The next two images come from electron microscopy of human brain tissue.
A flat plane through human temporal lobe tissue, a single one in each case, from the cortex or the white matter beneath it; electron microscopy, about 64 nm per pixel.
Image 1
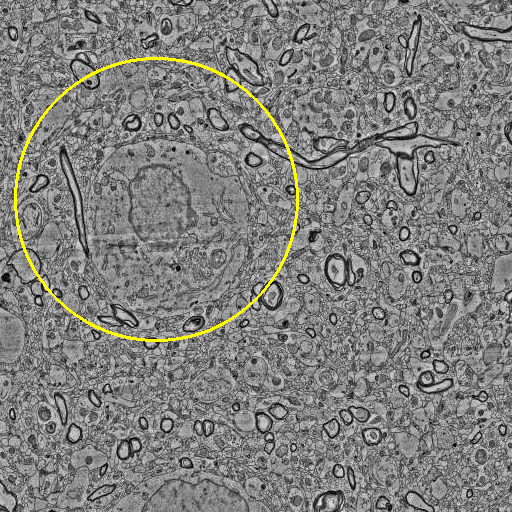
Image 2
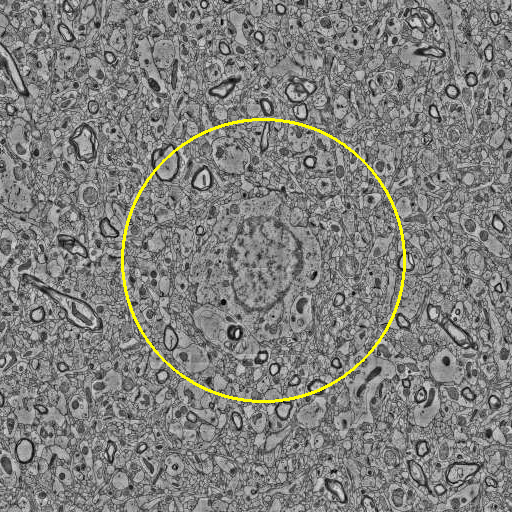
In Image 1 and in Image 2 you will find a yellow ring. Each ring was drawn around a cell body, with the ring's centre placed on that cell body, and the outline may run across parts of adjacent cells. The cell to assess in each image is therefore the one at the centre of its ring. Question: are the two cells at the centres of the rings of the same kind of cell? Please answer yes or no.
yes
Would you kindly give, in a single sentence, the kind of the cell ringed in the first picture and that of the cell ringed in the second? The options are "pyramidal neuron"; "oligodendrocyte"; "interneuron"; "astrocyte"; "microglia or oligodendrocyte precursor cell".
The first and the second cell are each an interneuron.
